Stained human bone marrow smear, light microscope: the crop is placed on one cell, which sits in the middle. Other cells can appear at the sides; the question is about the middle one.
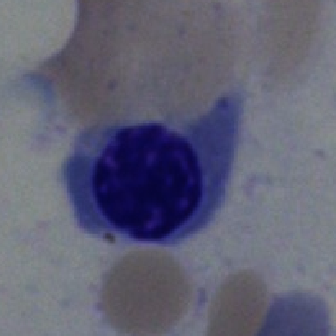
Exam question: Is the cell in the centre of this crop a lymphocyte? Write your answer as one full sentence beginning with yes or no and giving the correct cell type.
No, the cell at the centre is identified as a normoblast, not as a lymphocyte.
